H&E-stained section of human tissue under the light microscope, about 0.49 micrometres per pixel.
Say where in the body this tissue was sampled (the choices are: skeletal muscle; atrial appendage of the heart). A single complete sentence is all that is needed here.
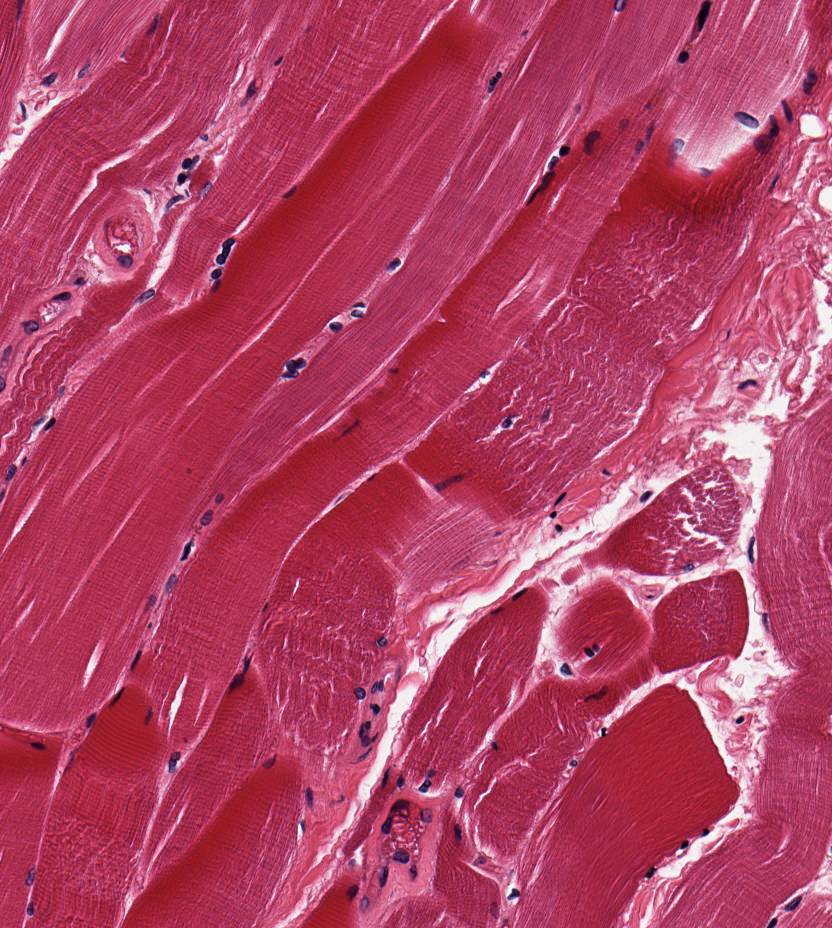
The specimen on this slide came from the skeletal muscle.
